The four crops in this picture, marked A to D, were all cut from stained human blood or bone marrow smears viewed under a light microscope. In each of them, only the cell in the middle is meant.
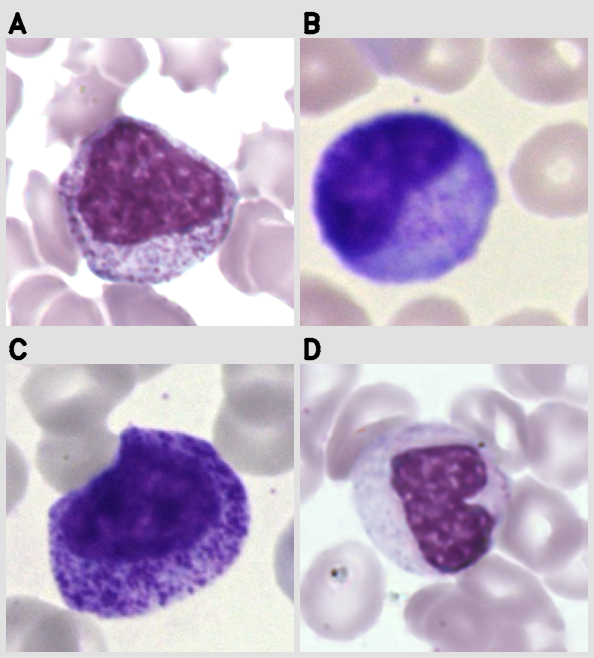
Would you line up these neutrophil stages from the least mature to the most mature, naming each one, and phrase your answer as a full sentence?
From least to most mature, the cells come in the order crop C (a promyelocyte), crop A (a myelocyte), crop B (a metamyelocyte) and crop D (a band neutrophil).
